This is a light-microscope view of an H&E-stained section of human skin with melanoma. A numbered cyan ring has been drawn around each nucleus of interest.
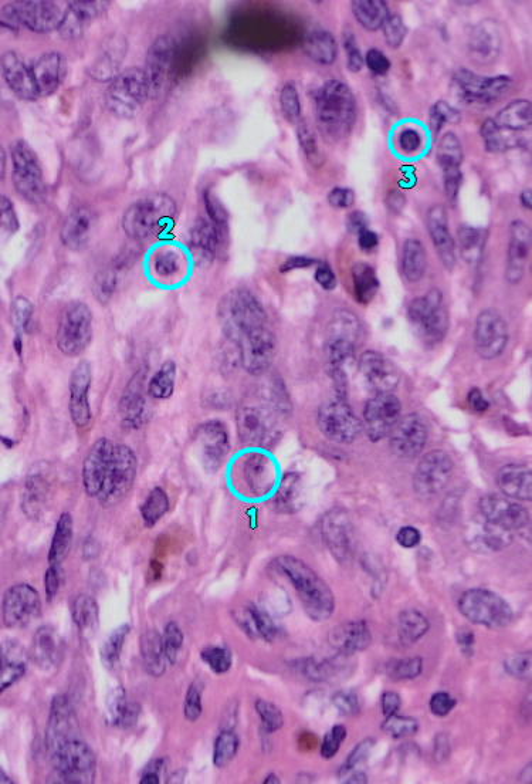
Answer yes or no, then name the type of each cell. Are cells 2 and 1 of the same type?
No, cell 2 counts as a lymphocyte, and cell 1 counts as a melanoma cell.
